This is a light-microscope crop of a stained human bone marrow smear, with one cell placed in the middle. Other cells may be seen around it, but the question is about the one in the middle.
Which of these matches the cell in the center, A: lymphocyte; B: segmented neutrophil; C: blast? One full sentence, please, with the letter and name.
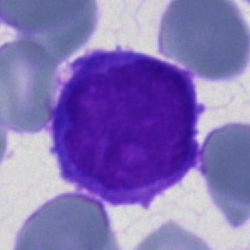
In the centre of the crop there is a blast, making option C correct.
